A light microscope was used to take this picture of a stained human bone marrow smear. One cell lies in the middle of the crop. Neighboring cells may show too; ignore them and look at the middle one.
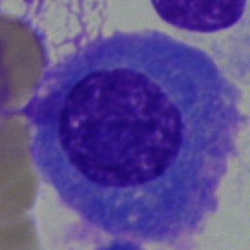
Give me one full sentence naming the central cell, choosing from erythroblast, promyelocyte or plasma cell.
The cell that lies at the centre of the crop is a plasma cell.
